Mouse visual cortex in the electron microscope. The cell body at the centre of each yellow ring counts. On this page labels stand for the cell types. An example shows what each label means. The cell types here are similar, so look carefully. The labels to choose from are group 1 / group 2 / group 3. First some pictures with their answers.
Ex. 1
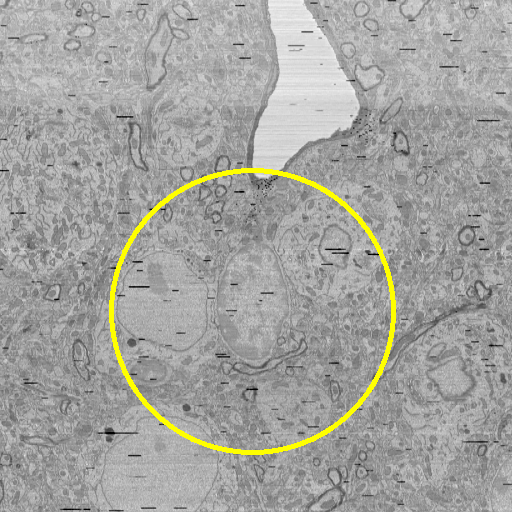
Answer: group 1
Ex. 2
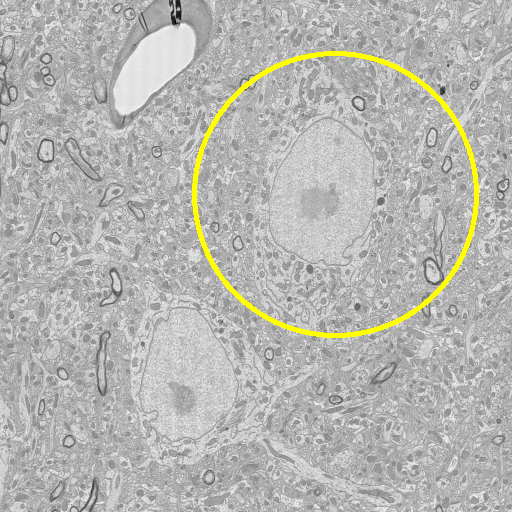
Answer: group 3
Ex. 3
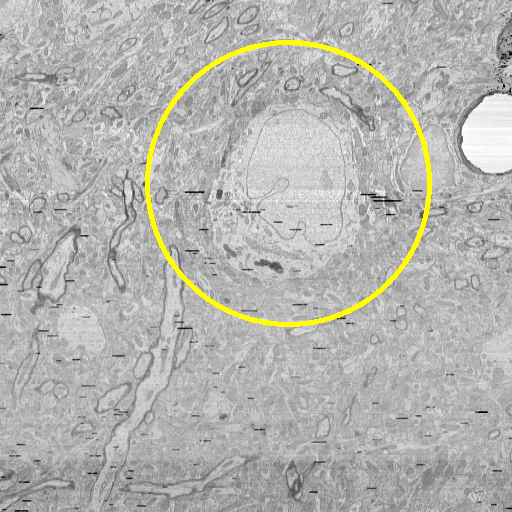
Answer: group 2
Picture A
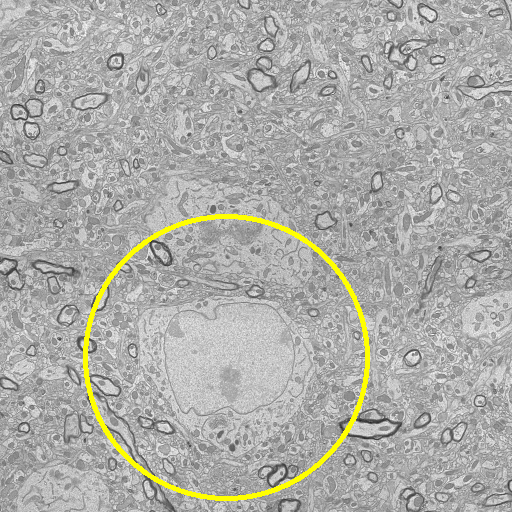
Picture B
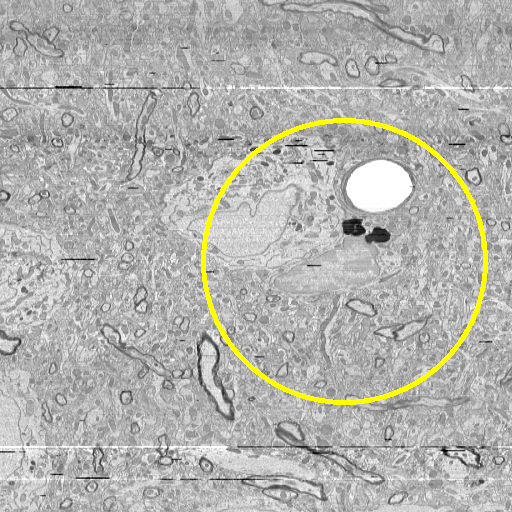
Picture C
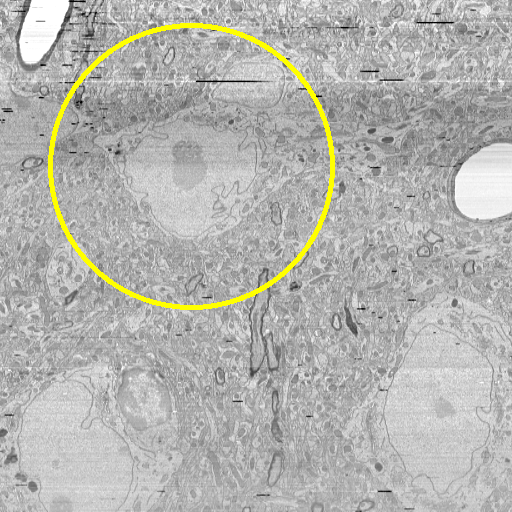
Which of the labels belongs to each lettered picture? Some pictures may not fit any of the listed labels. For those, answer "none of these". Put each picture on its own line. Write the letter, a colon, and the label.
A: group 2
B: none of these
C: group 3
